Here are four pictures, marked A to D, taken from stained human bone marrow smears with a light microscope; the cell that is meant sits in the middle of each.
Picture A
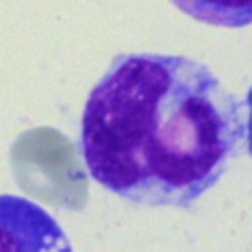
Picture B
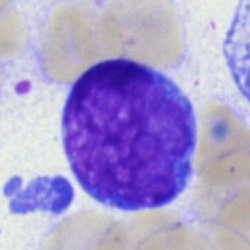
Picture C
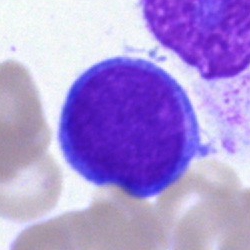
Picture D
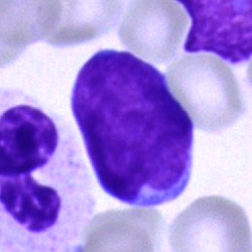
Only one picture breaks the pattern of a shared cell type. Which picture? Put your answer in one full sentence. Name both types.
Picture A is the odd one out: it shows a monocyte, while the others show blasts.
